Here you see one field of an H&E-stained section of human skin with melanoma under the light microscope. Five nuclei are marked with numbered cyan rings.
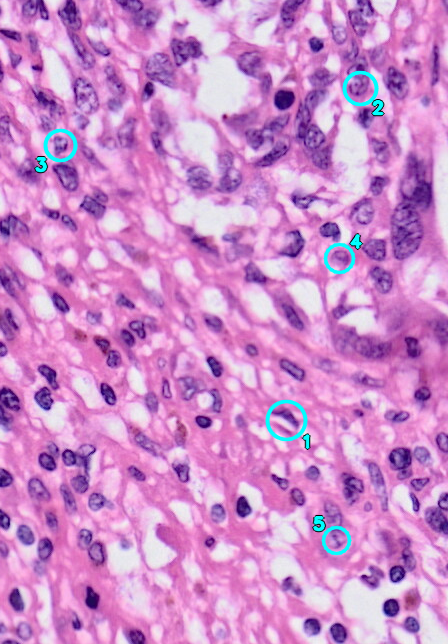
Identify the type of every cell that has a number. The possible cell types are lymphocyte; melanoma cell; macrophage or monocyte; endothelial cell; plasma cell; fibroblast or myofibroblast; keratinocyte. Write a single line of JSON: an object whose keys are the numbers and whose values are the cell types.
{"1": "fibroblast or myofibroblast", "2": "melanoma cell", "3": "lymphocyte", "4": "macrophage or monocyte", "5": "endothelial cell"}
